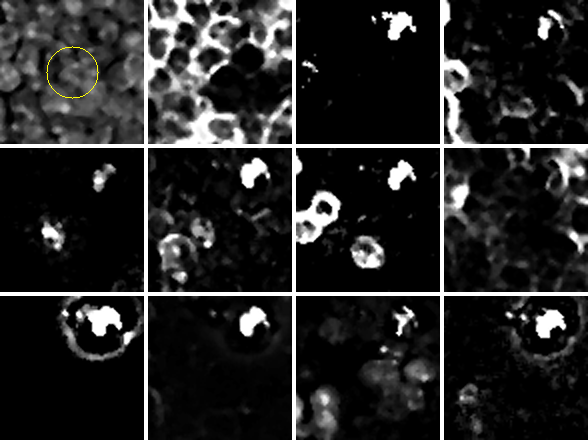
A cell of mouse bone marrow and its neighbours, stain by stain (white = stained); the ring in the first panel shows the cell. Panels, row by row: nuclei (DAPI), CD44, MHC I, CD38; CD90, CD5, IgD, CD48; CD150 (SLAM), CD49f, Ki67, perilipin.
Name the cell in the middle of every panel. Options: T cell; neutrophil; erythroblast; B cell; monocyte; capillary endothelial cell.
neutrophil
